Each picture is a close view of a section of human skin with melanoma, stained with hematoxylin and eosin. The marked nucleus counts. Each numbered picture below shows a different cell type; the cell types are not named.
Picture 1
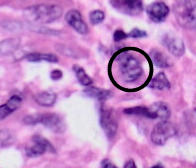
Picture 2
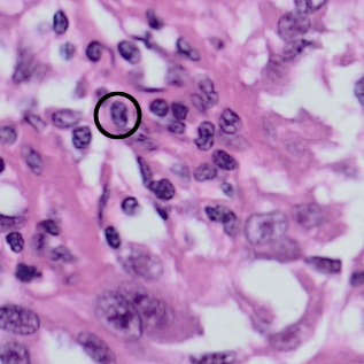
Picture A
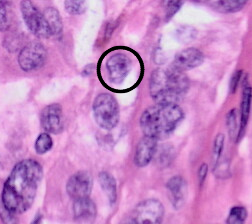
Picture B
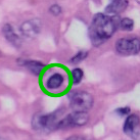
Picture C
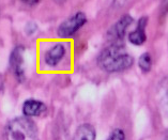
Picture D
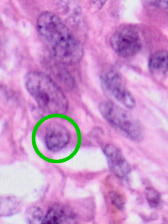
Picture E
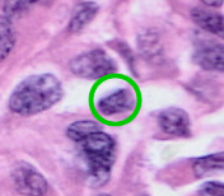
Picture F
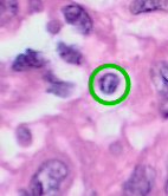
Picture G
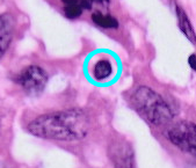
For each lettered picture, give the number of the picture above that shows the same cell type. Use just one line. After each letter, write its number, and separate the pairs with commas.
A 1, B 2, C 2, D 1, E 1, F 2, G 2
